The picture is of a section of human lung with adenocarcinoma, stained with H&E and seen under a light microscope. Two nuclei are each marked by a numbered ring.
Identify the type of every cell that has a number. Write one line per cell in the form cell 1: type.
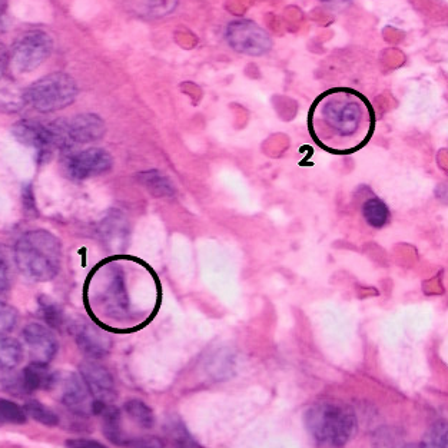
cell 1: ciliated epithelial cell
cell 2: macrophage or monocyte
